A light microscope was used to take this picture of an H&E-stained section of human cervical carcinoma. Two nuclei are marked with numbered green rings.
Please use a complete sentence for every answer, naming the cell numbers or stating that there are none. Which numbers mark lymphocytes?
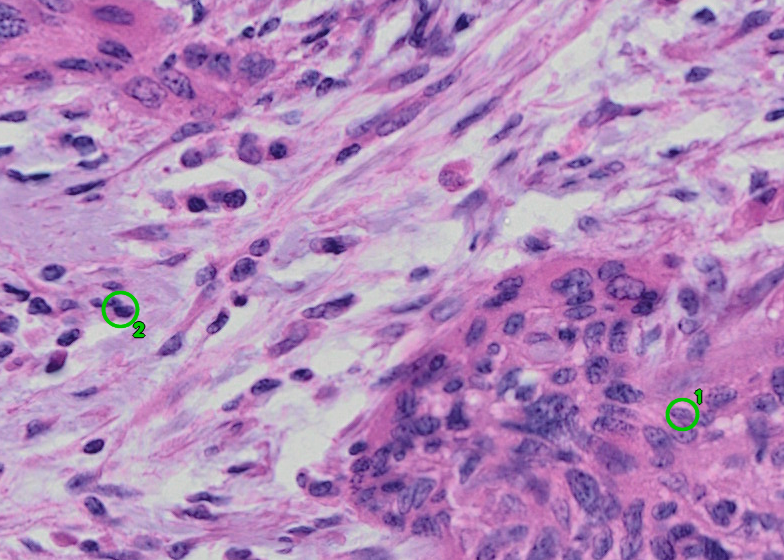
Only the cell carrying number 2 is a lymphocyte.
